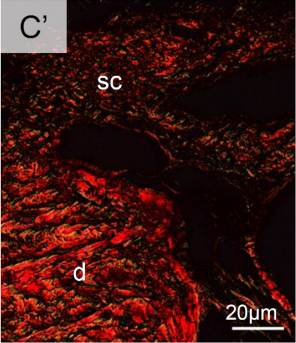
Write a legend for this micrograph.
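At high magnification under polarized light, collagen fibers of the dermis and subcutis shine red, orange and yellow-green against a black background. In the lower part, the dermis has dense, coarser bundles that glow strongly red. The subcutis above is made of finer, shorter fibers in a looser, speckled arrangement, many appearing yellowish or greenish. Dark, non-birefringent gaps run between the two layers, and a large dark space crosses the middle of the field.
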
